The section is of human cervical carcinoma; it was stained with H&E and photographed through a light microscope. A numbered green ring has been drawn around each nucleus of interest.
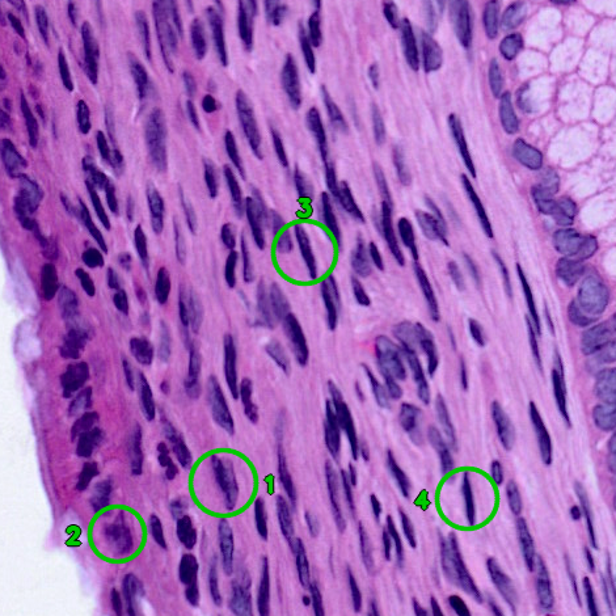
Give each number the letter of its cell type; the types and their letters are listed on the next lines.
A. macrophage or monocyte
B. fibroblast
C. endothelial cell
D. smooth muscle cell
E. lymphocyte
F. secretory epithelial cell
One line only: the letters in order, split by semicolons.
C; F; B; B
